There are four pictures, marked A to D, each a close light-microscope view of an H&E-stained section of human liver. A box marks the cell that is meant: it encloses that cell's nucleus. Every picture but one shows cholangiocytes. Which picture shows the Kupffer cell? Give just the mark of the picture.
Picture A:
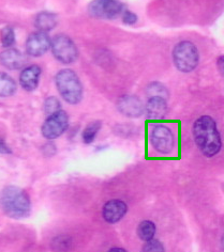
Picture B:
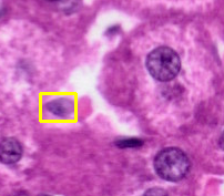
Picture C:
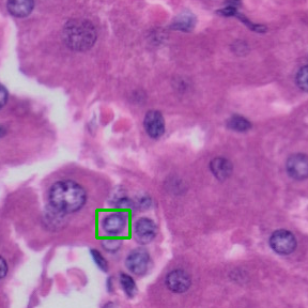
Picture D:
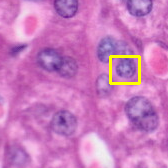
B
